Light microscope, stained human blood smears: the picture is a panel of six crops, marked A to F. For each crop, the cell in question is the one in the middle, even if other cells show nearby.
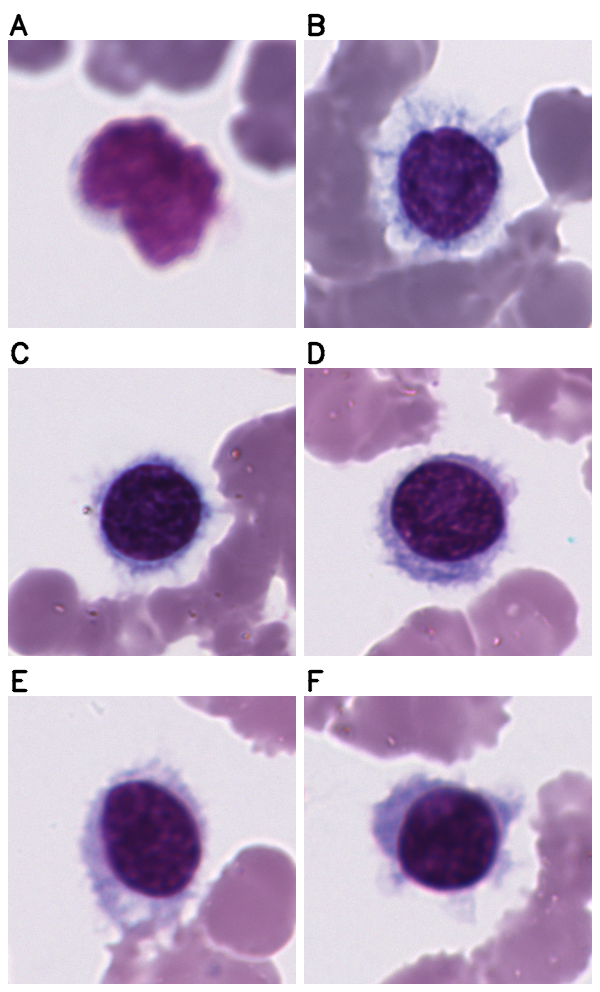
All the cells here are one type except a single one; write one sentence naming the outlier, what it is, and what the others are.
Crop A is the only one that is a smudge cell; all the others show hairy cells.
